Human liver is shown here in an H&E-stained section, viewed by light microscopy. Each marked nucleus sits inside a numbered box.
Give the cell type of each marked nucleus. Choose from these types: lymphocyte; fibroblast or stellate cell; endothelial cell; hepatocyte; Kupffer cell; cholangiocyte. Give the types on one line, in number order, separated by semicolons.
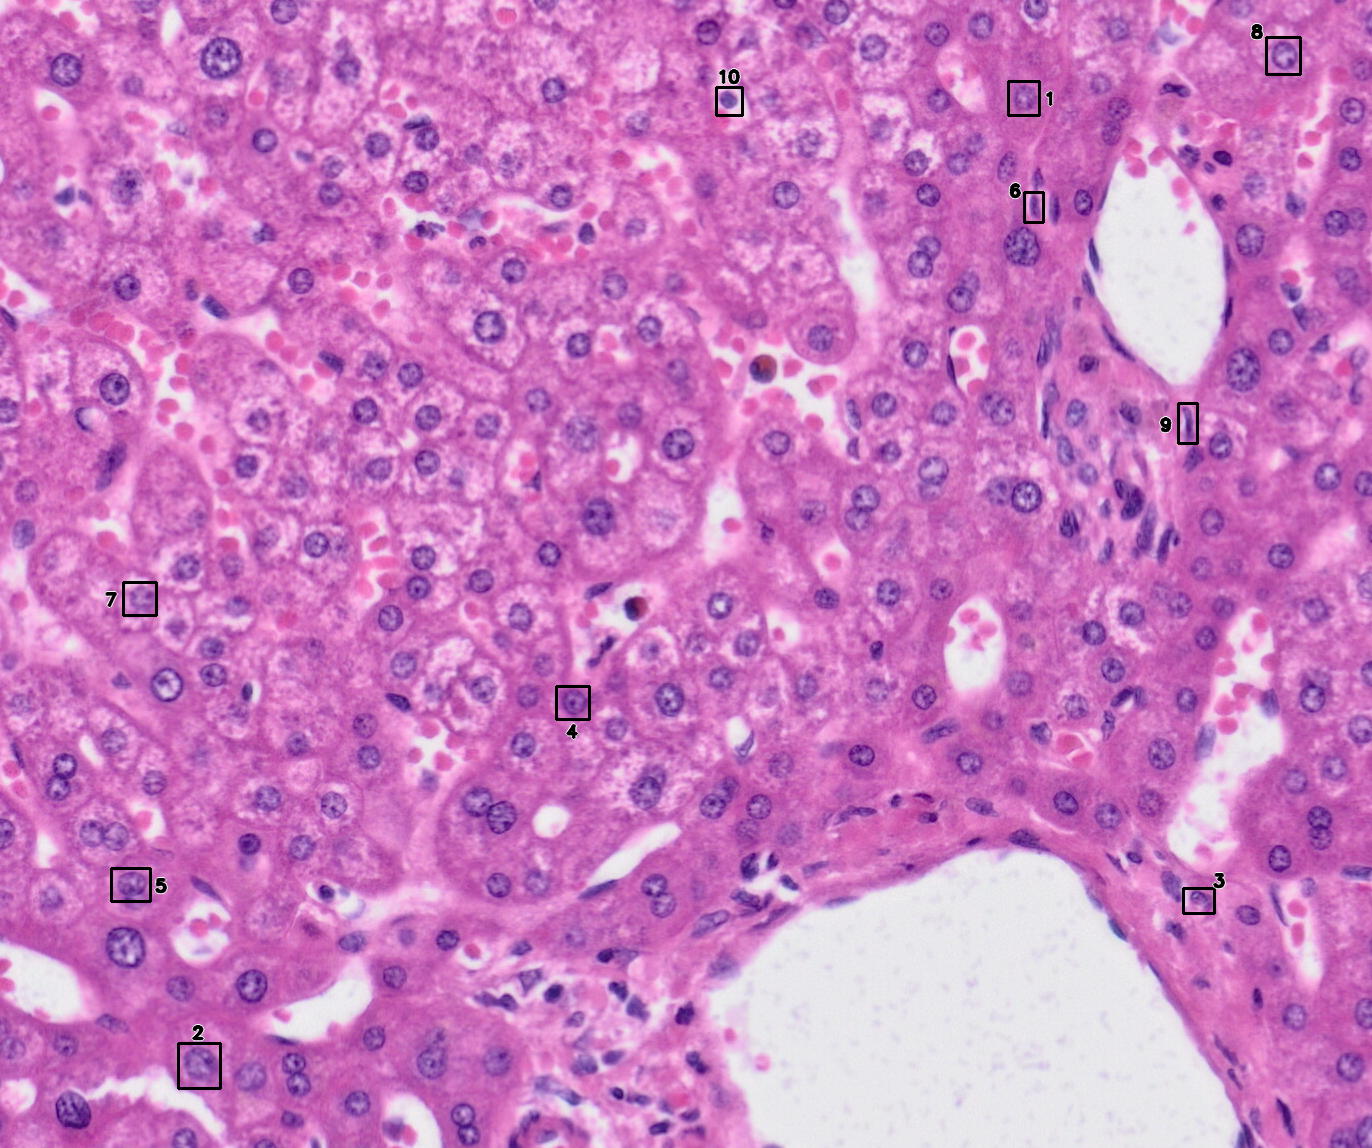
hepatocyte; hepatocyte; fibroblast or stellate cell; hepatocyte; hepatocyte; fibroblast or stellate cell; hepatocyte; hepatocyte; fibroblast or stellate cell; lymphocyte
